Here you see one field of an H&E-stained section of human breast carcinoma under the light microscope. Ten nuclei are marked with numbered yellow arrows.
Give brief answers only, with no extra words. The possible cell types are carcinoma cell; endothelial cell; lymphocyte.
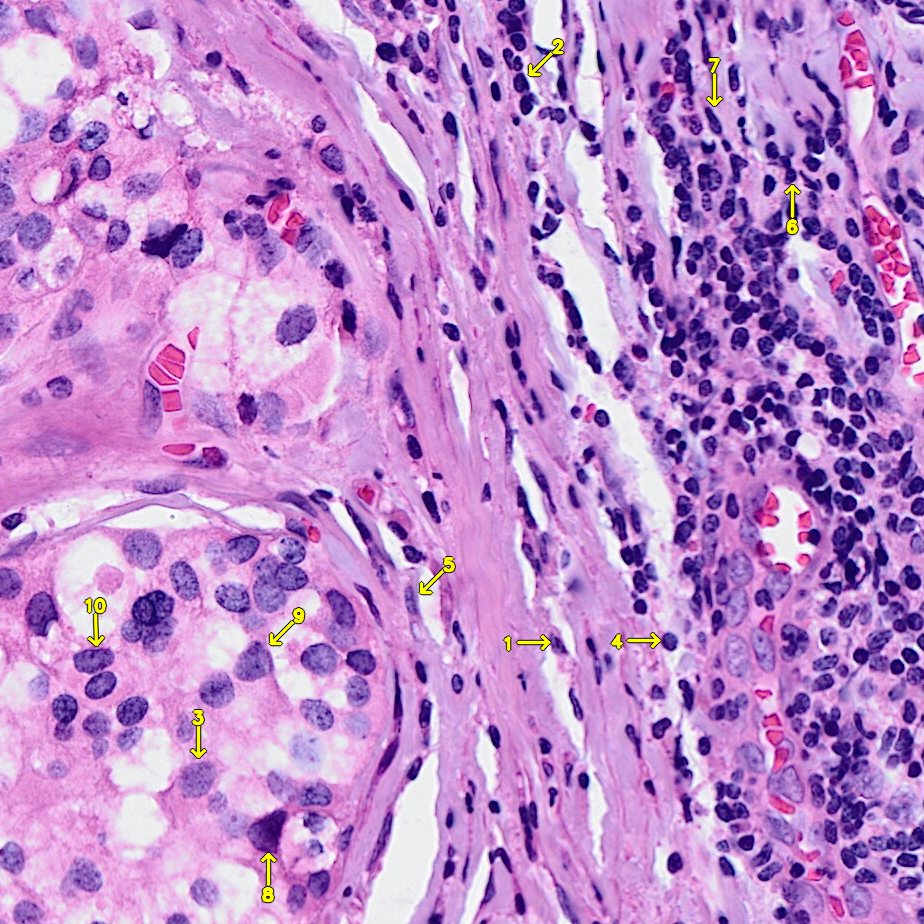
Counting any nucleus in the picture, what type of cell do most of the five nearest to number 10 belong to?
carcinoma cell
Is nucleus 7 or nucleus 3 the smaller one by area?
7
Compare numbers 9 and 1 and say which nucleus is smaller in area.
1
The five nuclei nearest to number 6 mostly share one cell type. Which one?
lymphocyte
